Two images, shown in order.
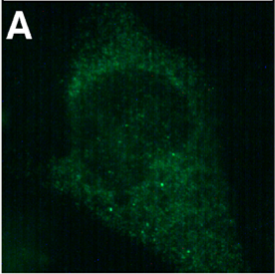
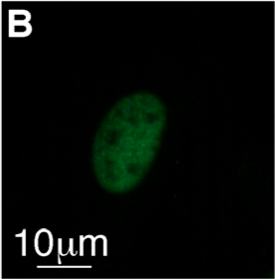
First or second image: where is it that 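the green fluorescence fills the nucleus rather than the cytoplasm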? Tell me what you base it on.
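Second image: green fills a compact oval with no green around it. First image: green fills a broad cell body and leaves a dark oval hole in its middle.
The second image.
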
